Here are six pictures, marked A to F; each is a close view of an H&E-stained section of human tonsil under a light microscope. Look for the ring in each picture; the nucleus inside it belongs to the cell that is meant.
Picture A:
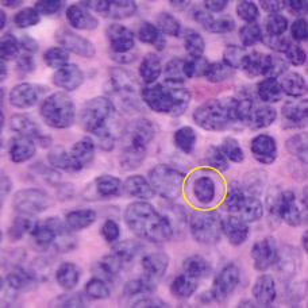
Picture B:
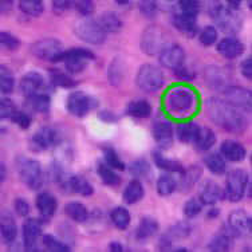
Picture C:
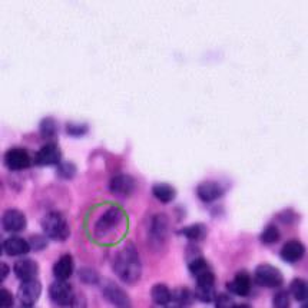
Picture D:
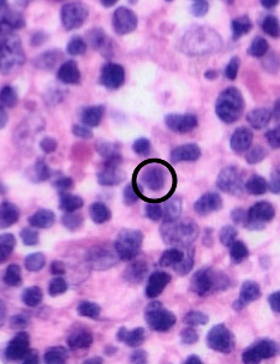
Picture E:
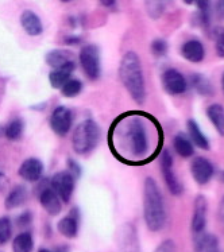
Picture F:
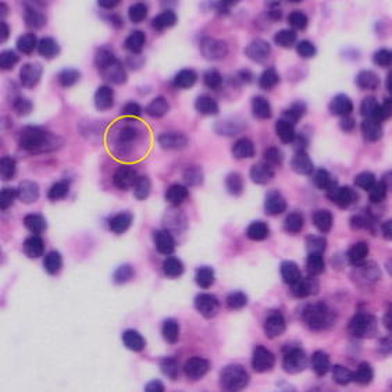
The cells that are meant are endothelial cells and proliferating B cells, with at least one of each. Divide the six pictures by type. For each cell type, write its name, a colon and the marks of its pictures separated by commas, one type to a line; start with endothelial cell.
endothelial cell: B, C, E, F
proliferating B cell: A, D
